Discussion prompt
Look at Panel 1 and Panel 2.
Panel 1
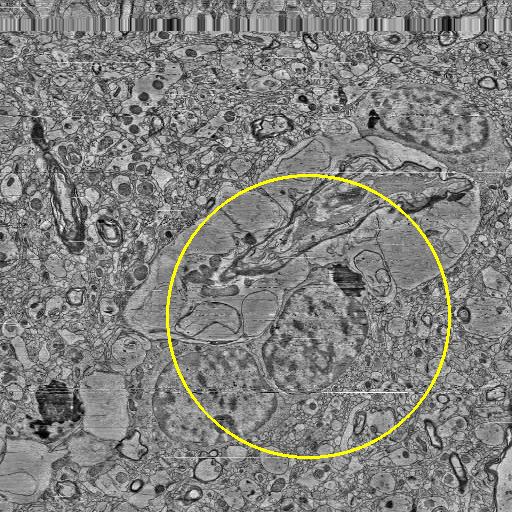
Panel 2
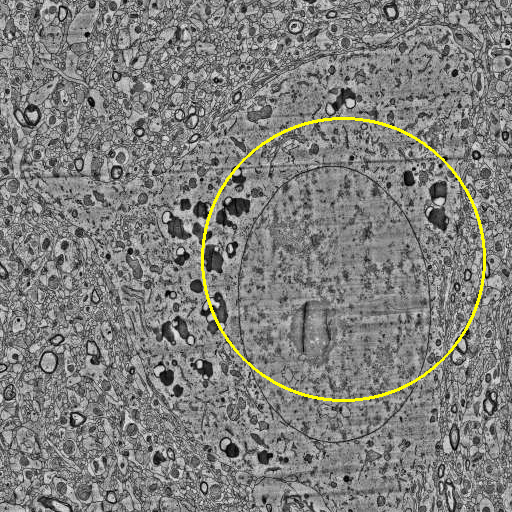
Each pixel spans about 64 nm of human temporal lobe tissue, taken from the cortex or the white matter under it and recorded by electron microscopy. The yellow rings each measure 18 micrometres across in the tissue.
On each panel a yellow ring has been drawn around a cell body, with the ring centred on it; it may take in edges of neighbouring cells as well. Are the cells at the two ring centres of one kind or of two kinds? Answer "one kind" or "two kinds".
two kinds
